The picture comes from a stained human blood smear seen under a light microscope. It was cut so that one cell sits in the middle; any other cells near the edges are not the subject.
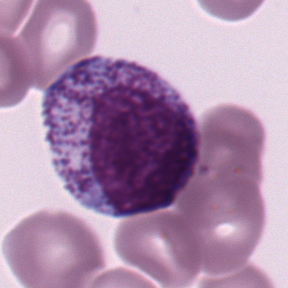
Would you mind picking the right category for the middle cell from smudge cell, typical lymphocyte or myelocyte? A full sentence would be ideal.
The center cell of this crop is a myelocyte.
